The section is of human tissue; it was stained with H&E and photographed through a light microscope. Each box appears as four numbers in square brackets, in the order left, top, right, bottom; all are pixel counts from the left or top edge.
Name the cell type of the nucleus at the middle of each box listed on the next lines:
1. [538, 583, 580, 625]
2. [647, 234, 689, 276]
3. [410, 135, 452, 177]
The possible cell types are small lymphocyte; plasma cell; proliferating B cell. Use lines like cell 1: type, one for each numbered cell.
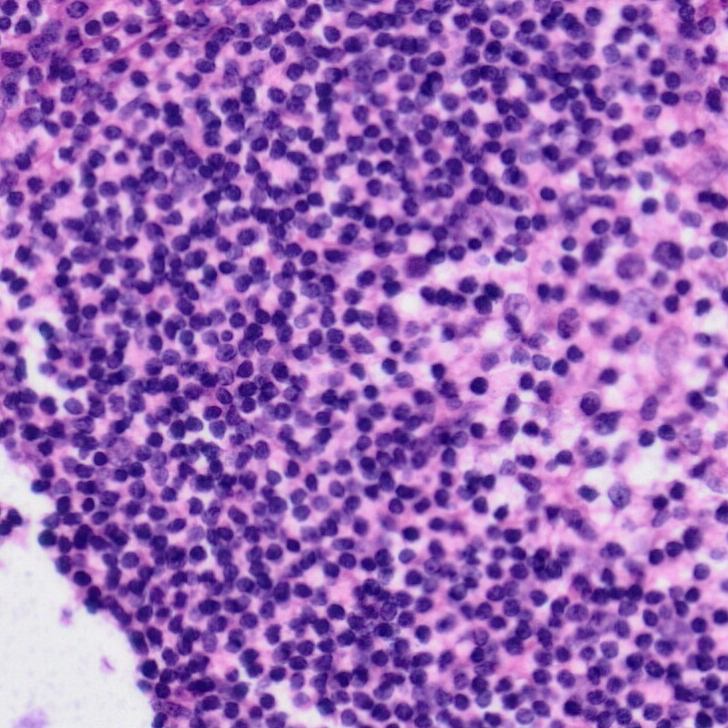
cell 1: small lymphocyte
cell 2: proliferating B cell
cell 3: small lymphocyte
